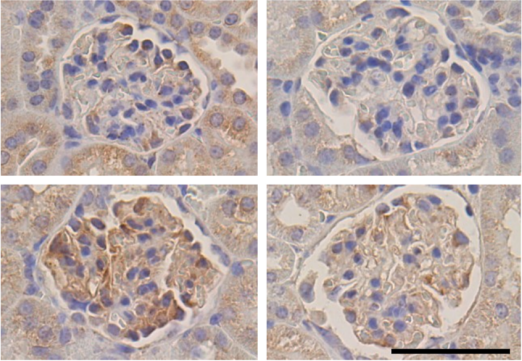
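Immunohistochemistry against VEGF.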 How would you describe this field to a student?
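Four fields of kidney cortex each show a renal glomerulus at the centre, a rounded tuft of capillary loops with many small blue nuclei. Each tuft sits within a thin capsule, separated from it by a narrow clear space. Around the glomeruli lie cross-sectioned tubules lined by cuboidal epithelial cells with round nuclei and pale granular cytoplasm. Brown stain lies within the glomerular tufts and faintly in the surrounding tubular cytoplasm. In the lower left field the brown stain within the tuft is clearly more intense and widespread than in the other fields.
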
